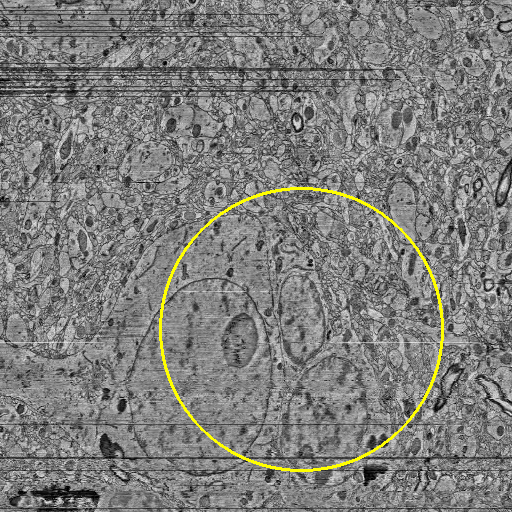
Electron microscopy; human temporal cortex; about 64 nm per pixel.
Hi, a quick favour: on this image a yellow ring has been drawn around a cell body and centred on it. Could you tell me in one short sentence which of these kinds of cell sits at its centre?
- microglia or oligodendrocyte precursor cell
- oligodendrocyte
The ring is centred on a microglial cell or oligodendrocyte precursor cell.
